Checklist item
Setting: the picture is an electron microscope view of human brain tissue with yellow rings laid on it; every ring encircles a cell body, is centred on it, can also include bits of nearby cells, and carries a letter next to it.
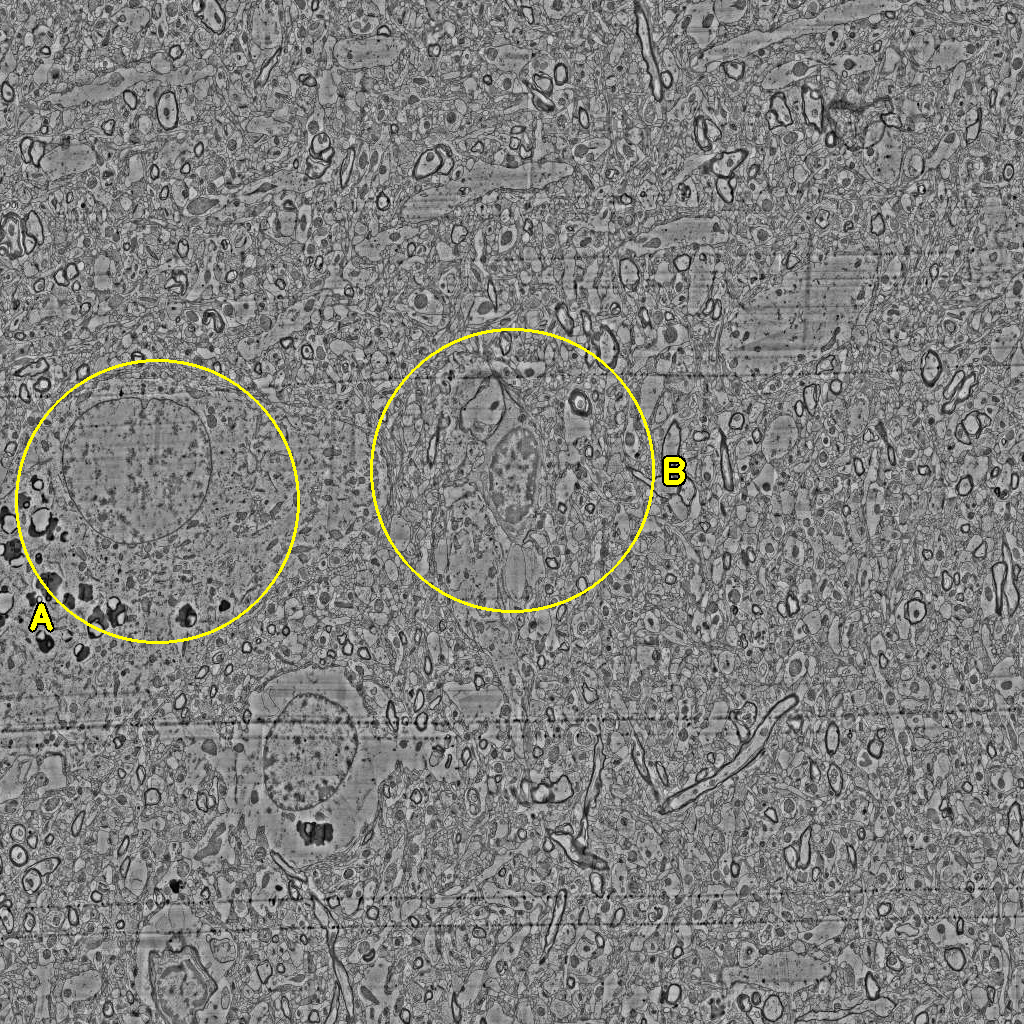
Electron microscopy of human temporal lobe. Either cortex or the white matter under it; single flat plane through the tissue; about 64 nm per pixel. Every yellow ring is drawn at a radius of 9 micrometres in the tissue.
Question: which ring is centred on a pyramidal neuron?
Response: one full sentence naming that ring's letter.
My response is that ring A has the sought cell at its centre.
